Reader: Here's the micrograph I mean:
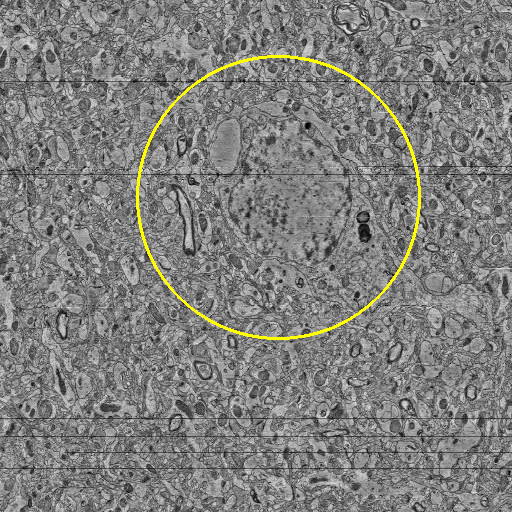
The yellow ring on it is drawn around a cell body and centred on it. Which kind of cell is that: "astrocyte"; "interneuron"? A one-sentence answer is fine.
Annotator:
The ring is centred on an interneuron.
